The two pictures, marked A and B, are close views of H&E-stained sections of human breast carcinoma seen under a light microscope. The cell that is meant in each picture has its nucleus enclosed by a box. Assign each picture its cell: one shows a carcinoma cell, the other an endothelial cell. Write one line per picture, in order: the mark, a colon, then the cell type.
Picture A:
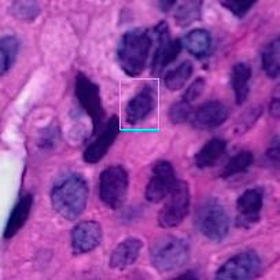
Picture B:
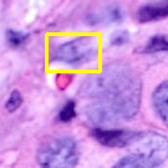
A: carcinoma cell
B: endothelial cell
